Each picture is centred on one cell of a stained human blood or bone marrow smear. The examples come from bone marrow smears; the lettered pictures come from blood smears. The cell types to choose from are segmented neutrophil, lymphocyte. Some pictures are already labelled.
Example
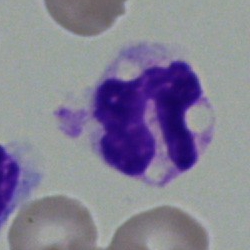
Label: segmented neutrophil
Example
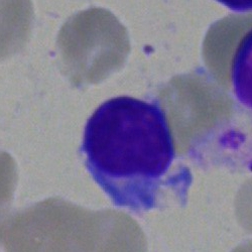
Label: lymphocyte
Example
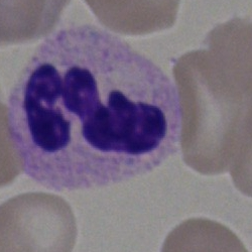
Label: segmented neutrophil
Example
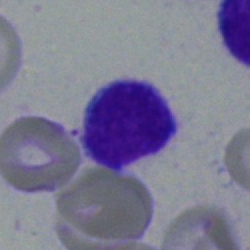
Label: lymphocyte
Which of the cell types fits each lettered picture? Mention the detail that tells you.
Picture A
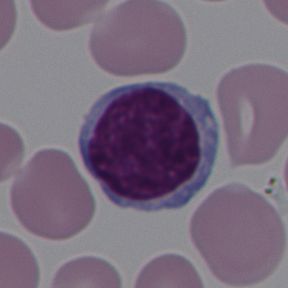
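lymphocyte: The cytoplasm forms only a thin rim around the nucleus.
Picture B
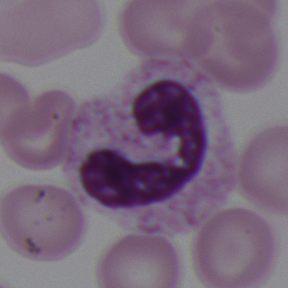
segmented neutrophil: The cytoplasm is abundant and very pale, close to colourless with a faint pink tint.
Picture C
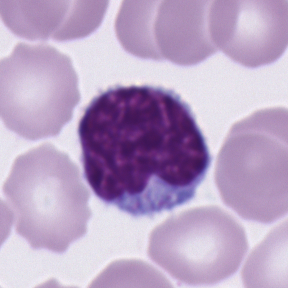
lymphocyte: The scant cytoplasm is pale blue.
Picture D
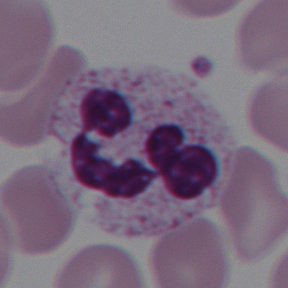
segmented neutrophil: The cytoplasm is pale pink.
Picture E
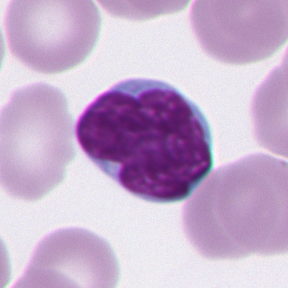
lymphocyte: The cytoplasm forms only a thin rim around the nucleus.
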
